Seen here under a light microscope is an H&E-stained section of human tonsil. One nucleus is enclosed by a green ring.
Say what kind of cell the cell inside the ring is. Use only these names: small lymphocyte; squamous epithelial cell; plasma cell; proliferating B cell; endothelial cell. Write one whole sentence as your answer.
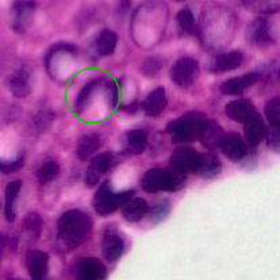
As classified here, the cell inside the ring is a squamous epithelial cell.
